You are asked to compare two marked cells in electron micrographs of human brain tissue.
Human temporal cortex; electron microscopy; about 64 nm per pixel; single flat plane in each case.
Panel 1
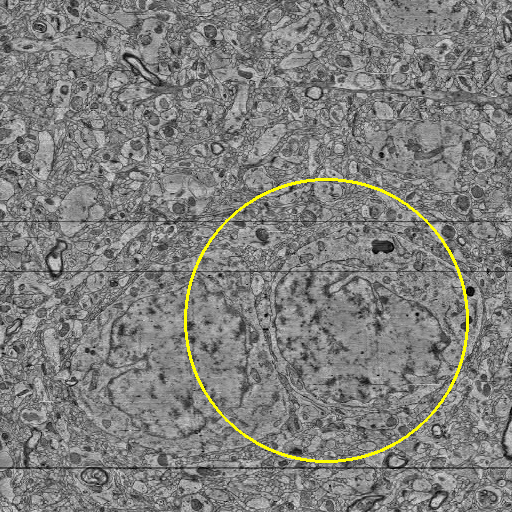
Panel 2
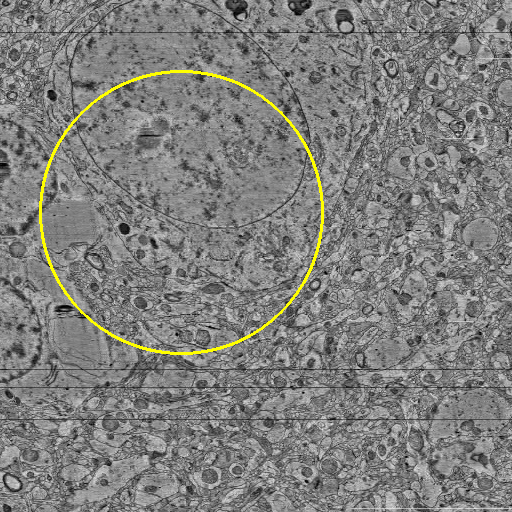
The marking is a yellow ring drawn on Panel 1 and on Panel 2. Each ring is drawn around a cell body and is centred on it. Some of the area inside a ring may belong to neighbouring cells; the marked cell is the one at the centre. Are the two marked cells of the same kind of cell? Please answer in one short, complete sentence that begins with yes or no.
No, the two marked cells are of two kinds.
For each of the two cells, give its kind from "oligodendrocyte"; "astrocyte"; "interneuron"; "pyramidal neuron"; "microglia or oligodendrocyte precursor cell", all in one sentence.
The first picture has an interneuron in its ring, the second has a pyramidal neuron.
